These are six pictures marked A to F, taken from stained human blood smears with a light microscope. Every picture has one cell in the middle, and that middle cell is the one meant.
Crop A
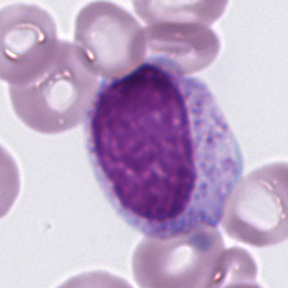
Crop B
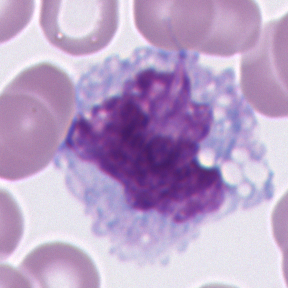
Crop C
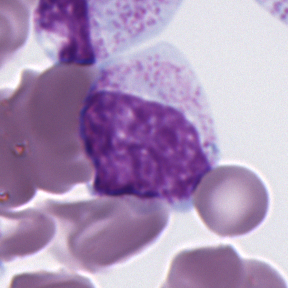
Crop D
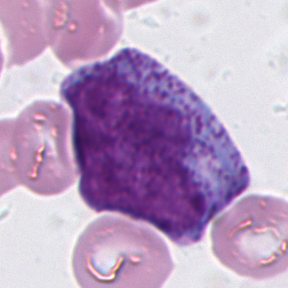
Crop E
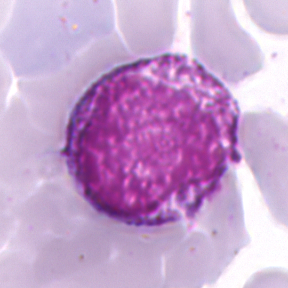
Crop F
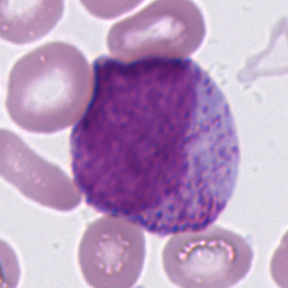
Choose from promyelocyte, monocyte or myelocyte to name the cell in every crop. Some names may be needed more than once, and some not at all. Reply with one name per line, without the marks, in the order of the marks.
myelocyte
monocyte
myelocyte
promyelocyte
myelocyte
promyelocyte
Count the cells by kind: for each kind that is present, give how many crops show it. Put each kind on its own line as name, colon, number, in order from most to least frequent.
myelocyte: 3
promyelocyte: 2
monocyte: 1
